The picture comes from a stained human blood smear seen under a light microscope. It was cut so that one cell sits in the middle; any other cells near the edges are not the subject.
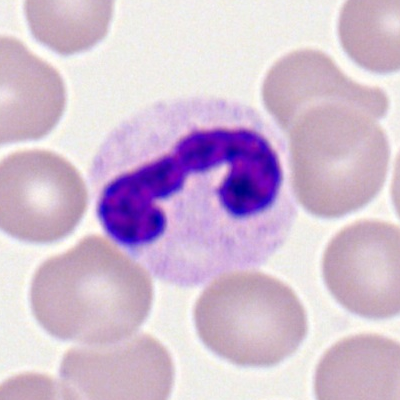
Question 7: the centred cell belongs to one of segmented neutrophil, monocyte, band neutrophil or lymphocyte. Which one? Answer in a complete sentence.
The cell found in the middle of this crop is a band neutrophil.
